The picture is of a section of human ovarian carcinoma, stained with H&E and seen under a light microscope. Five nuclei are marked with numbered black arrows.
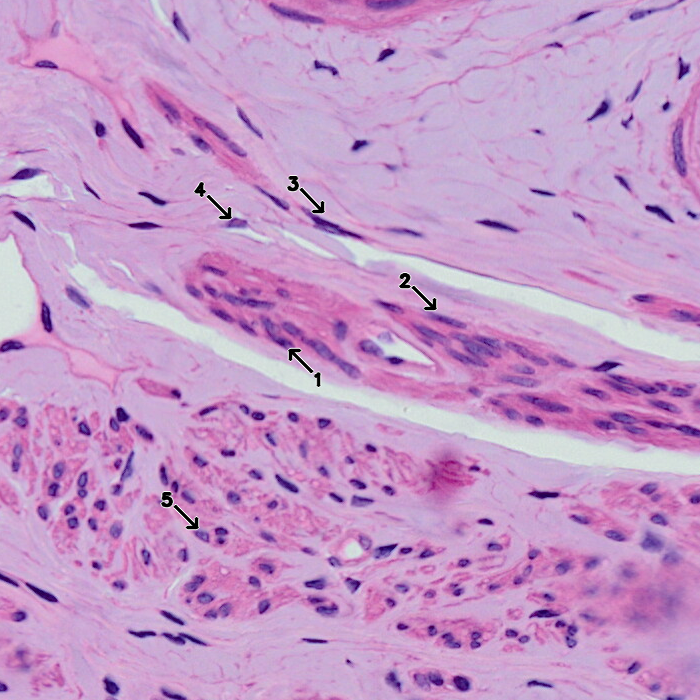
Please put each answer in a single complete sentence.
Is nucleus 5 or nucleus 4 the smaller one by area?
The smaller nucleus is 5, and 4 covers roughly 1.5 times its area.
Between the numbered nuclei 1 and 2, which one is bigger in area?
At about 1.5 times the area of nucleus 1, nucleus 2 is the larger of the two.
